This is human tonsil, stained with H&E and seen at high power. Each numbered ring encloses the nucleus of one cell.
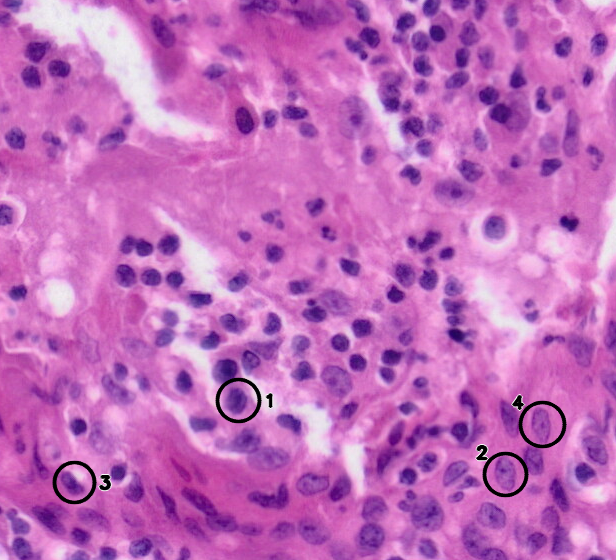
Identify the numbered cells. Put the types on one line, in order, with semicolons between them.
proliferating B cell; squamous epithelial cell; squamous epithelial cell; squamous epithelial cell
